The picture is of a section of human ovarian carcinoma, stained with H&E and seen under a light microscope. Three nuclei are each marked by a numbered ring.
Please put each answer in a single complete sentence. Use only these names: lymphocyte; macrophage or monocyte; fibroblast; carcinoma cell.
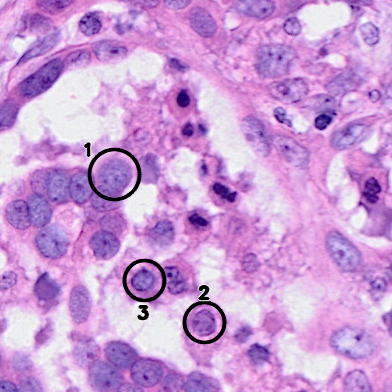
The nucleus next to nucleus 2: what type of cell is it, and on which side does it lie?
Lying to the right of nucleus 2, the nearest nucleus is that of a lymphocyte.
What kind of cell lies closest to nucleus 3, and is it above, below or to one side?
Just to the right of nucleus 3 lies the nearest nucleus, which belongs to a macrophage or monocyte.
